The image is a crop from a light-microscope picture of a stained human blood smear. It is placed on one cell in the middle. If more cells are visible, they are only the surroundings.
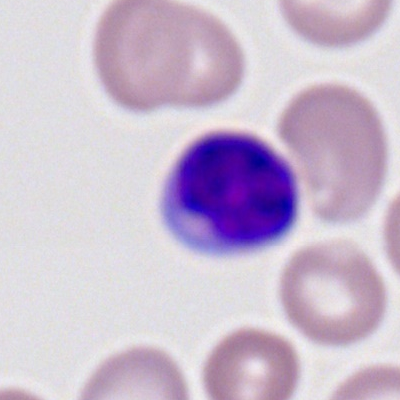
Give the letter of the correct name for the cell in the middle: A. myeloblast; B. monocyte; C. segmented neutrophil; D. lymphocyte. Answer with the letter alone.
D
